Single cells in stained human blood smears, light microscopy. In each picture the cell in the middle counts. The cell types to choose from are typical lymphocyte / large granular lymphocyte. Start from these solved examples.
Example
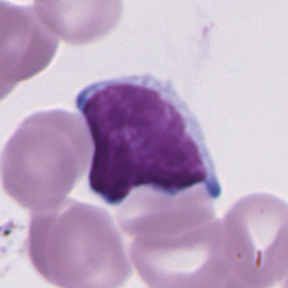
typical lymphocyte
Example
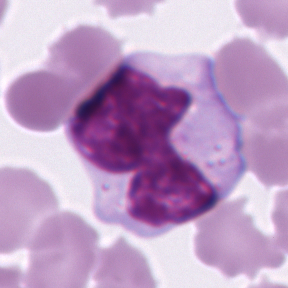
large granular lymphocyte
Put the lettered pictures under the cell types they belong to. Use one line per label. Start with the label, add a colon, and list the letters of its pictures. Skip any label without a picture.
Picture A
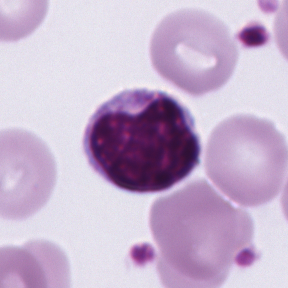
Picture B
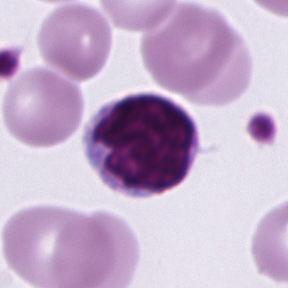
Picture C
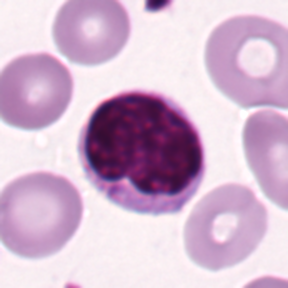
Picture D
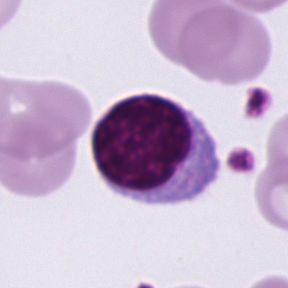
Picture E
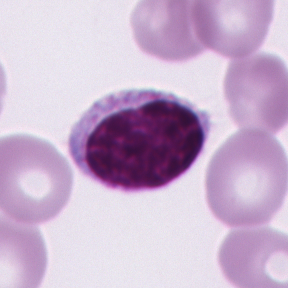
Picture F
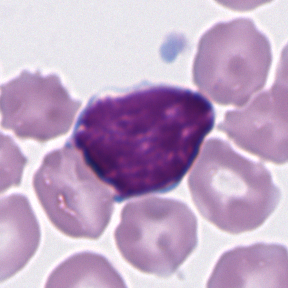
typical lymphocyte: D, F
large granular lymphocyte: A, B, C, E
